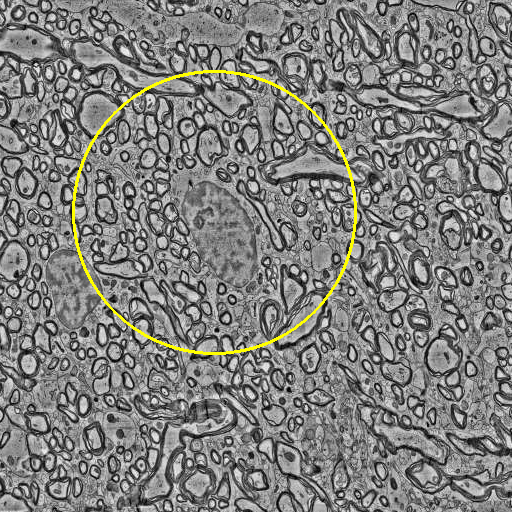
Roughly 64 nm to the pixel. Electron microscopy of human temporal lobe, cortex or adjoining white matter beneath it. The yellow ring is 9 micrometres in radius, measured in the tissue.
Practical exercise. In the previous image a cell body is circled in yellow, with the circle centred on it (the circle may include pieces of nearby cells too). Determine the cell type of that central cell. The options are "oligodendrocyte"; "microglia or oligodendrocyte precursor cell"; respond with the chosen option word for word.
oligodendrocyte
